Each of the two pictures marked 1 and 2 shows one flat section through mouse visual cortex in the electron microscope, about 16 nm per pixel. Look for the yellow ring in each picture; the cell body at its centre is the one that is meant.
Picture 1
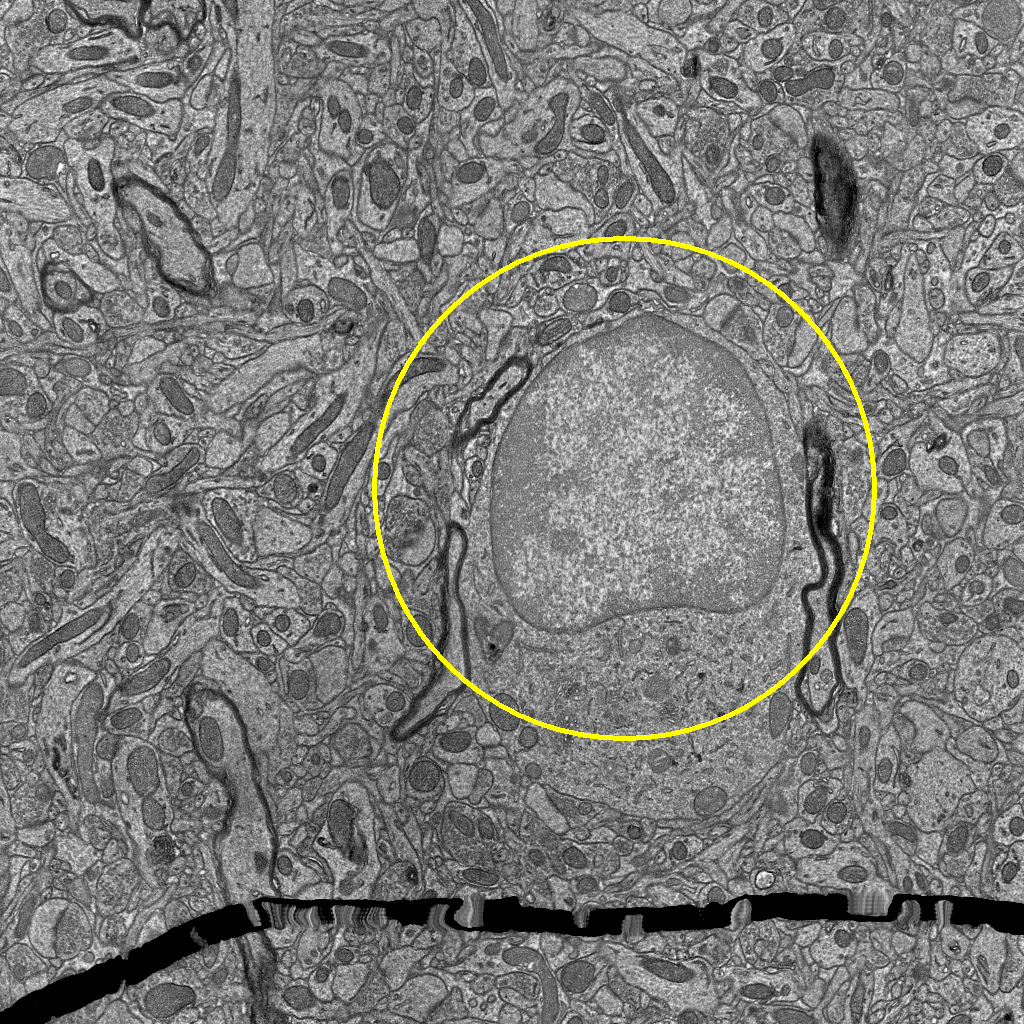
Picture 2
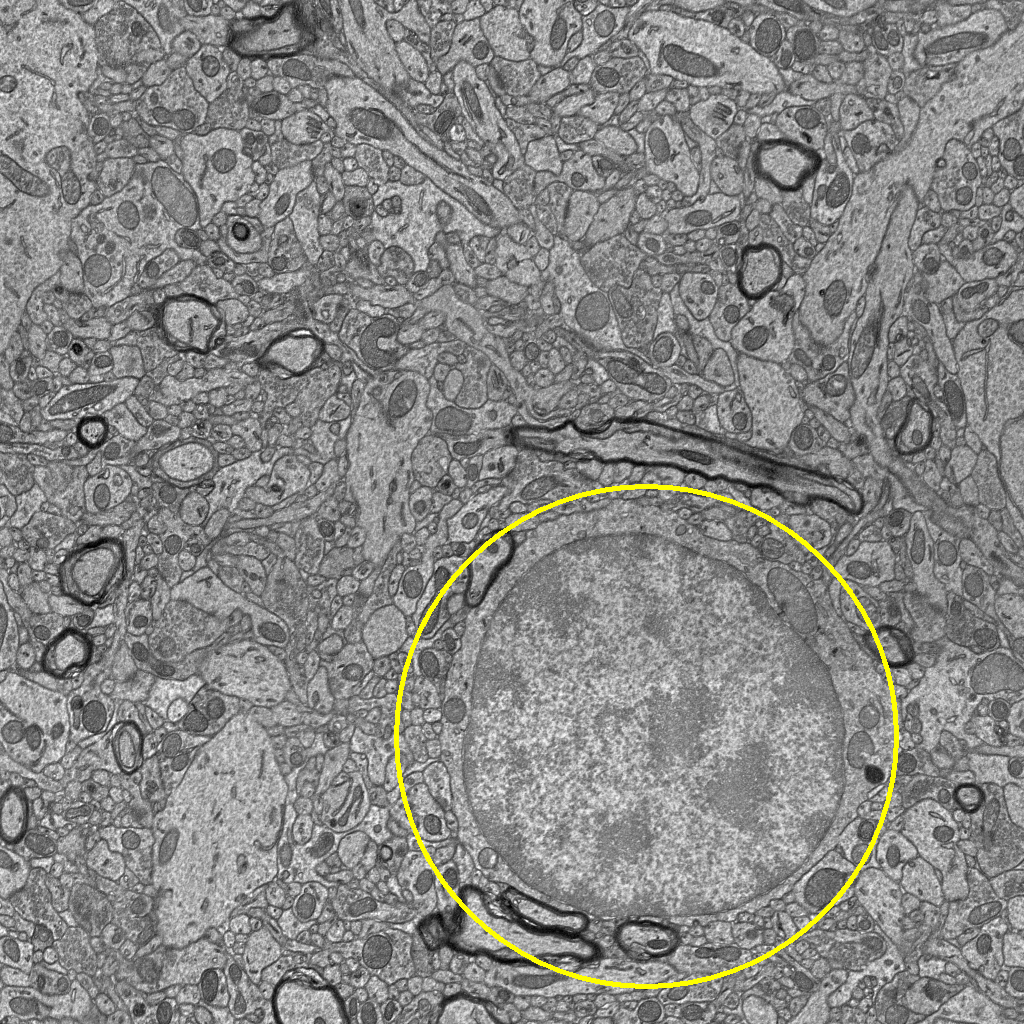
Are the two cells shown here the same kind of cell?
Yes, both cells are oligodendrocytes.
